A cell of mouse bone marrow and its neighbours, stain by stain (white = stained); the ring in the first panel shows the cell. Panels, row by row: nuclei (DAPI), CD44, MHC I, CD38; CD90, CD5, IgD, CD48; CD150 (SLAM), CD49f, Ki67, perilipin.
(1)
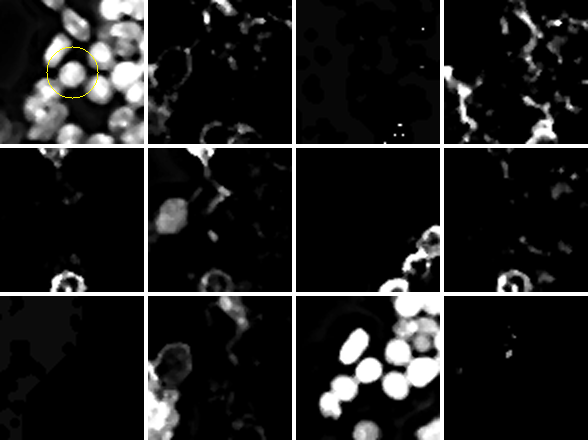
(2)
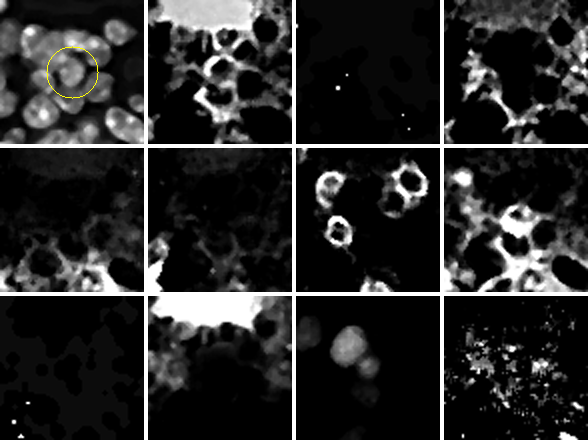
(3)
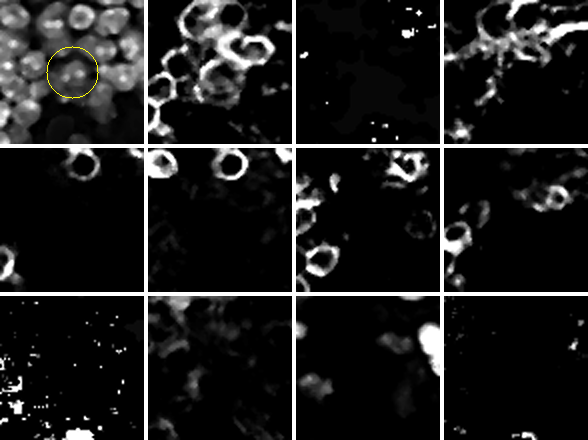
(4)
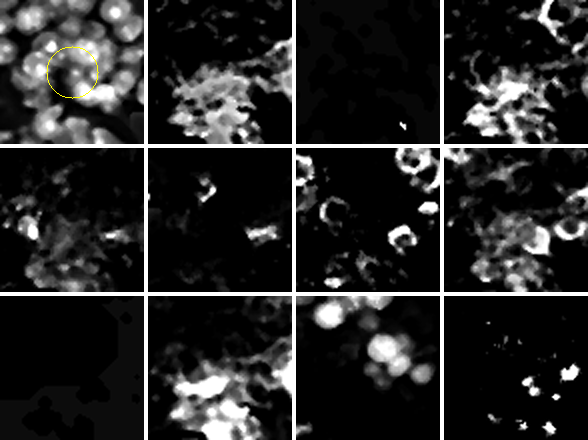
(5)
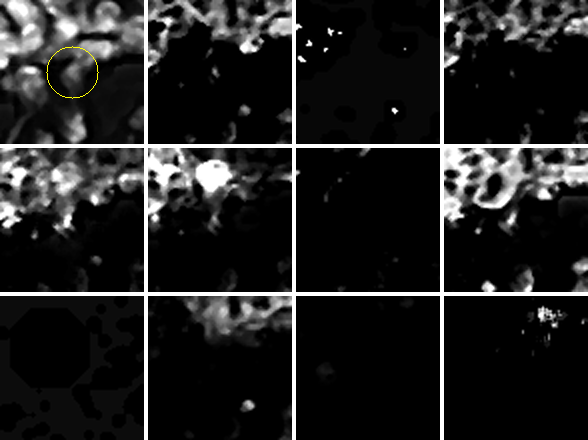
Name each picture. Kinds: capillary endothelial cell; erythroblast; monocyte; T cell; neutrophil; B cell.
(1) erythroblast
(2) monocyte
(3) neutrophil
(4) capillary endothelial cell
(5) T cell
